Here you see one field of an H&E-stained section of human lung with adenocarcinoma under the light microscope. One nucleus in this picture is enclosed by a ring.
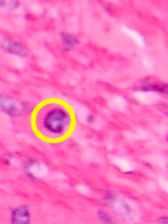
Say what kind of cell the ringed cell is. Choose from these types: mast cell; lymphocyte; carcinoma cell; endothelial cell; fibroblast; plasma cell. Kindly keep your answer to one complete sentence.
For the purposes of cell typing, the ringed cell is categorized as a mast cell.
